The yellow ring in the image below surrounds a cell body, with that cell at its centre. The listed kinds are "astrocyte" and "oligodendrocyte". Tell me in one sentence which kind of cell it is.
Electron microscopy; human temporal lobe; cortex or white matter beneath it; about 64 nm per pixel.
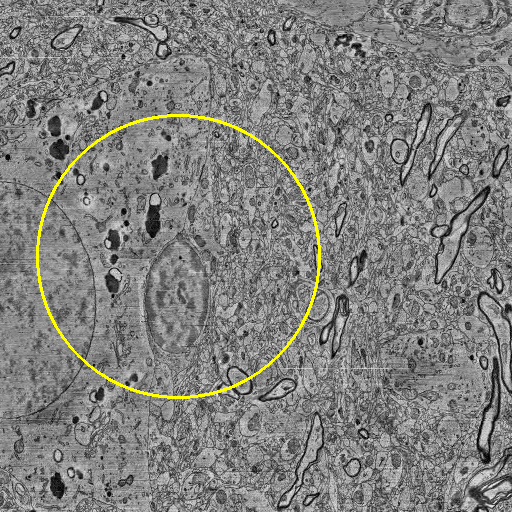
The centre of the ring holds an oligodendrocyte.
